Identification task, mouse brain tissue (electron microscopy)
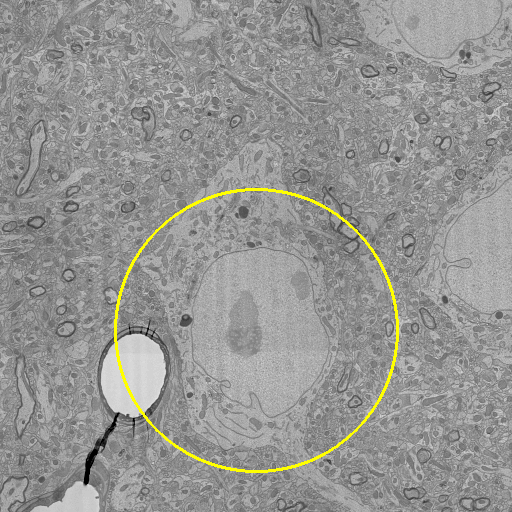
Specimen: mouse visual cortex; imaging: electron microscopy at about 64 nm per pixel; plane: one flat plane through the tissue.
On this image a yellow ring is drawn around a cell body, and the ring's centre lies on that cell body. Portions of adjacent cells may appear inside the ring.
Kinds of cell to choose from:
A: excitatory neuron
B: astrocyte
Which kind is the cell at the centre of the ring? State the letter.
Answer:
A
